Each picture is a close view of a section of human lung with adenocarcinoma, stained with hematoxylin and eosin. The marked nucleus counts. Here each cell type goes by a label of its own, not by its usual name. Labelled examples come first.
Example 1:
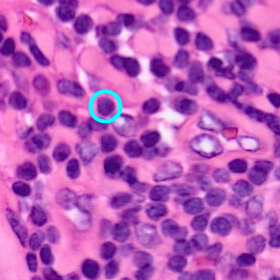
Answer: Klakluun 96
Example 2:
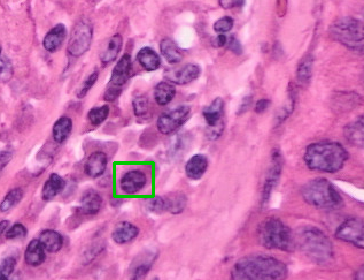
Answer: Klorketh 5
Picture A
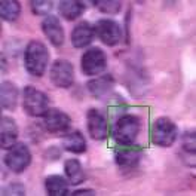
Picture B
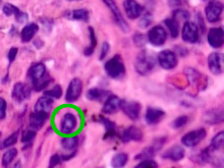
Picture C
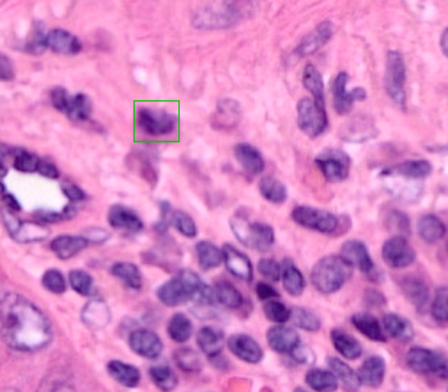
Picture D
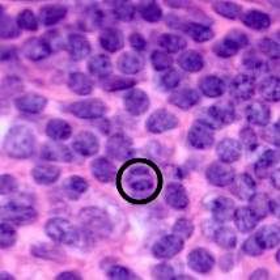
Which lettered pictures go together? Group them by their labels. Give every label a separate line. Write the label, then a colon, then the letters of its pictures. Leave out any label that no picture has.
Klakluun 96: A, B, D
Klorketh 5: C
